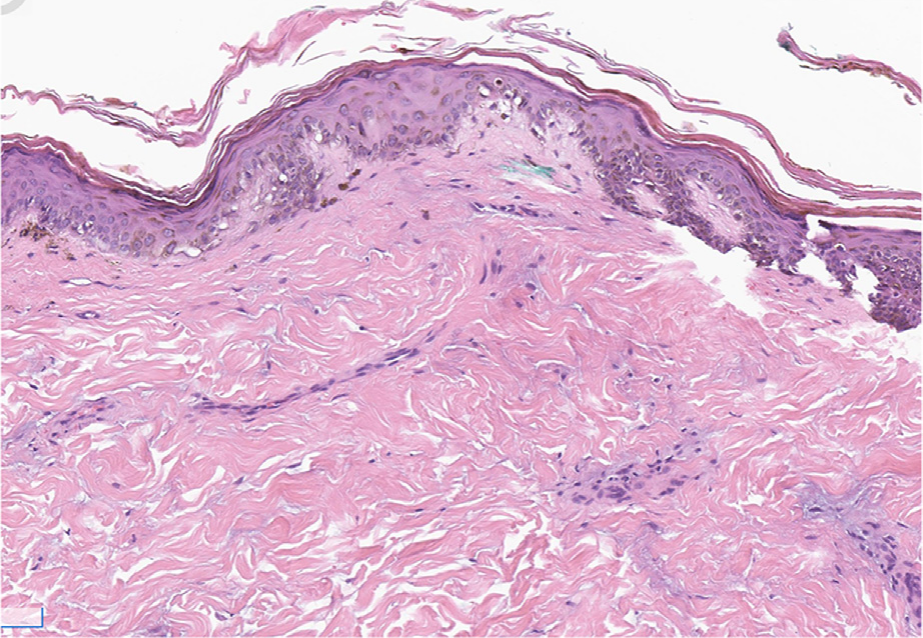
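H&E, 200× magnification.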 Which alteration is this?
Vacuolar interface dermatitis.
